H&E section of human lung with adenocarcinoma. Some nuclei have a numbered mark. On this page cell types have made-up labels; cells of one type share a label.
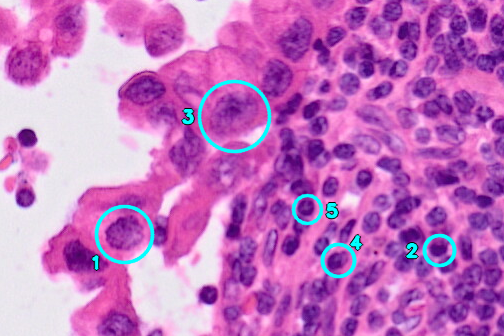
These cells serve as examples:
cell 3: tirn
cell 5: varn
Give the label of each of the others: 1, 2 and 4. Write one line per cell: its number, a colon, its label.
1: tirn
2: varn
4: varn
